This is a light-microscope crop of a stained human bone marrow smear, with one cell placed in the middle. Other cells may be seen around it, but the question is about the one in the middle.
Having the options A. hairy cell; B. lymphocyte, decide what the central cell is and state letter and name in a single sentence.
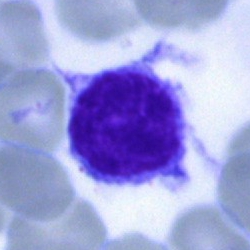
In the middle of the crop is a hairy cell; option A is therefore correct.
